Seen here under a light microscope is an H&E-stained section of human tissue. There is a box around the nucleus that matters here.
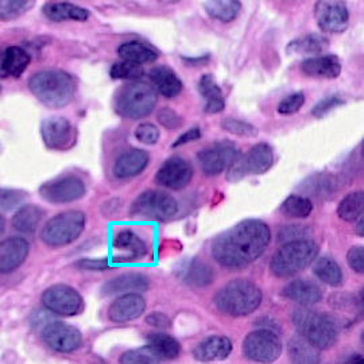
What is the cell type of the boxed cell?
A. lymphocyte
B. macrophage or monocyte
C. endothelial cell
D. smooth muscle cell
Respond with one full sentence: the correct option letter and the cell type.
The accurate option is B, with the boxed cell being a macrophage or monocyte.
